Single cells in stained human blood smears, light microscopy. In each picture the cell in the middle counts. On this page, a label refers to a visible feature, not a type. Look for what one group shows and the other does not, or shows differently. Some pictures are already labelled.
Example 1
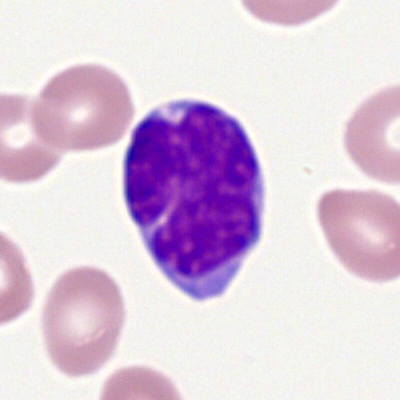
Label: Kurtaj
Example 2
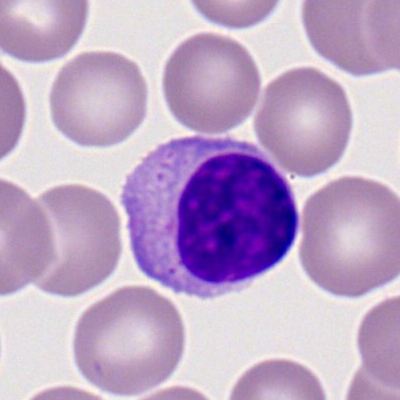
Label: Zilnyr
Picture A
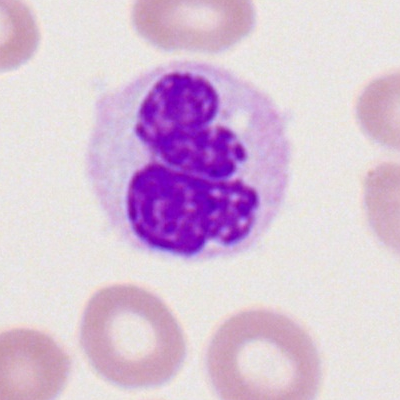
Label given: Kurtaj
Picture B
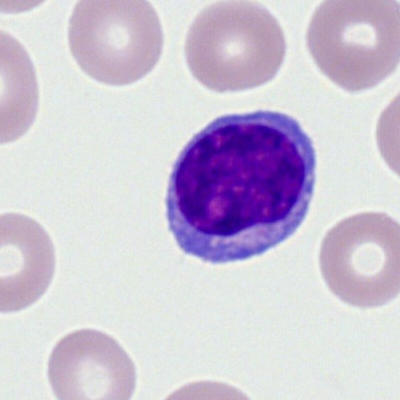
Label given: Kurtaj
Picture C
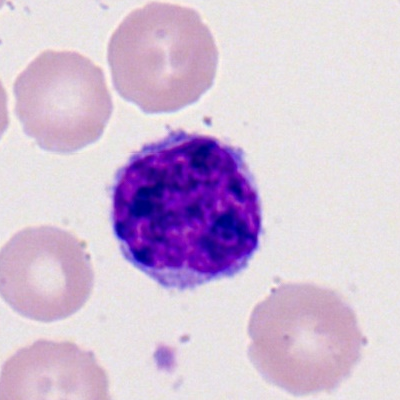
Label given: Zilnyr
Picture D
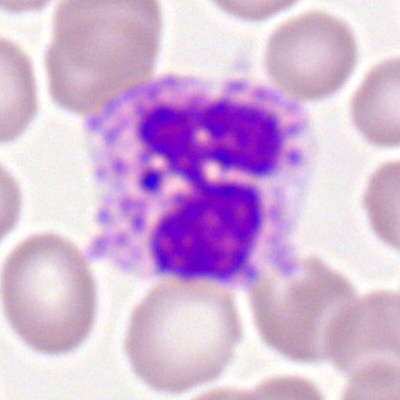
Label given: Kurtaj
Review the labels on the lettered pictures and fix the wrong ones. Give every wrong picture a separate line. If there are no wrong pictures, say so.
D: Zilnyr, not Kurtaj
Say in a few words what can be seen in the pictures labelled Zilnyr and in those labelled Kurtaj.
Zilnyr: ragged outline or projections; Kurtaj: smooth outline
